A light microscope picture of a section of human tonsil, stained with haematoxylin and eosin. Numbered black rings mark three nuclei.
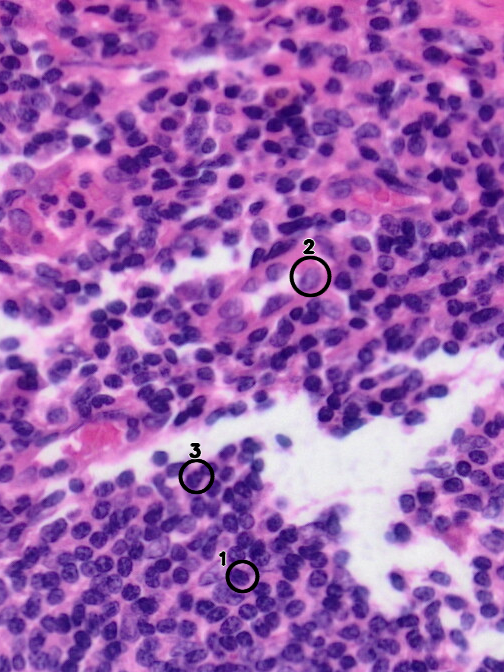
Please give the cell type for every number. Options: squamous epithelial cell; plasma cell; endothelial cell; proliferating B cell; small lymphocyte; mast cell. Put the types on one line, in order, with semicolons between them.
small lymphocyte; endothelial cell; small lymphocyte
